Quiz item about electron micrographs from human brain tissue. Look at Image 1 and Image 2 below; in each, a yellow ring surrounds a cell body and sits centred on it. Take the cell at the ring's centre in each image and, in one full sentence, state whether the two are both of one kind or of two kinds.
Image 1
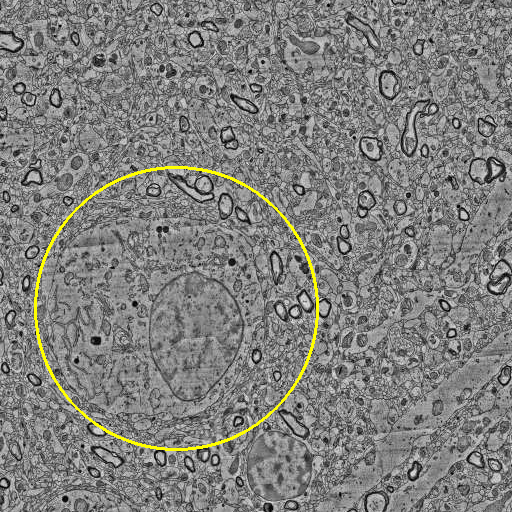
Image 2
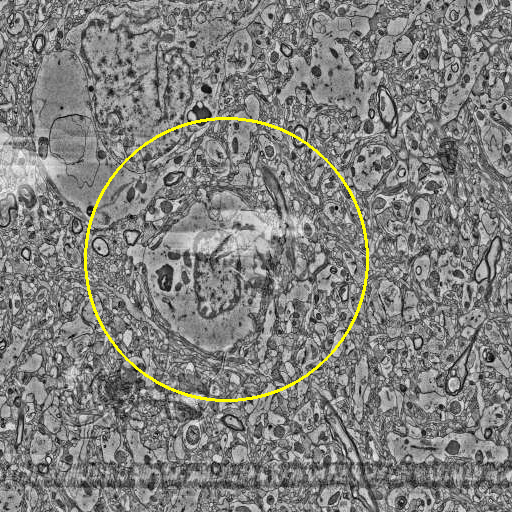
In Image 1 and Image 2, the cells at the ring centres are of two kinds.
